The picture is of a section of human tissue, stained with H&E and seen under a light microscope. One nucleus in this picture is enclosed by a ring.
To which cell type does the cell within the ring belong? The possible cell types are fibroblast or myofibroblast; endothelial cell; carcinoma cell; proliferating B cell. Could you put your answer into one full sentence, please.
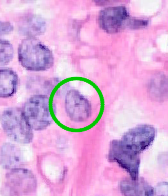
For the purposes of cell typing, the cell within the ring is categorized as a carcinoma cell.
